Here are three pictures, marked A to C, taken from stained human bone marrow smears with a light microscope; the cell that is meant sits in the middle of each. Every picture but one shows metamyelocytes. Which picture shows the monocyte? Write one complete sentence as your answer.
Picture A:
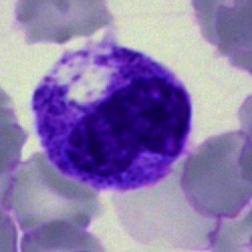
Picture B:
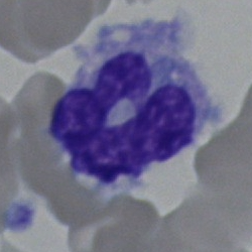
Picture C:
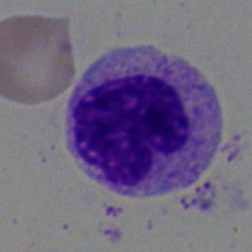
It is picture B that shows the monocyte.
